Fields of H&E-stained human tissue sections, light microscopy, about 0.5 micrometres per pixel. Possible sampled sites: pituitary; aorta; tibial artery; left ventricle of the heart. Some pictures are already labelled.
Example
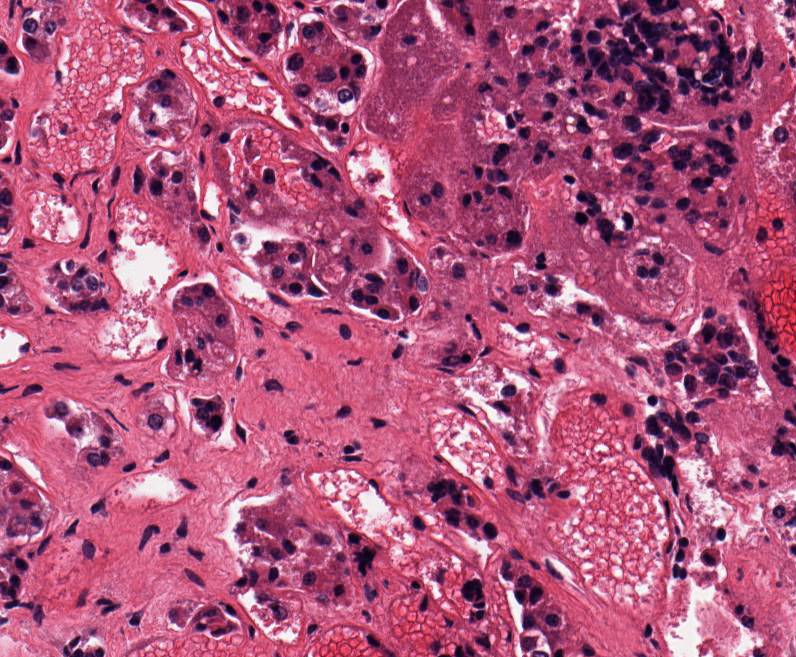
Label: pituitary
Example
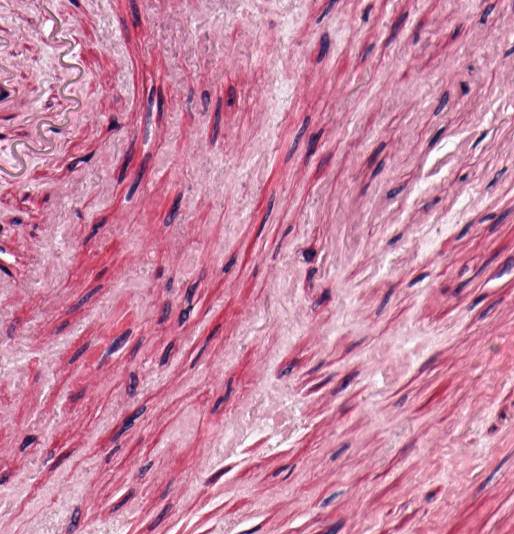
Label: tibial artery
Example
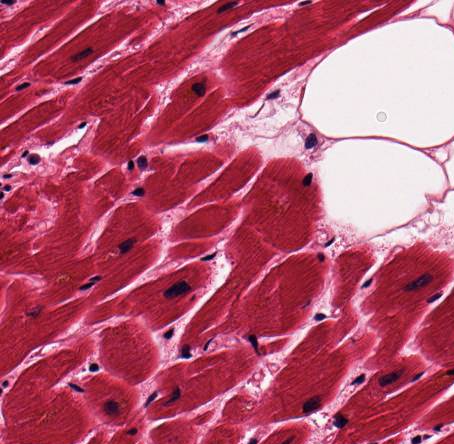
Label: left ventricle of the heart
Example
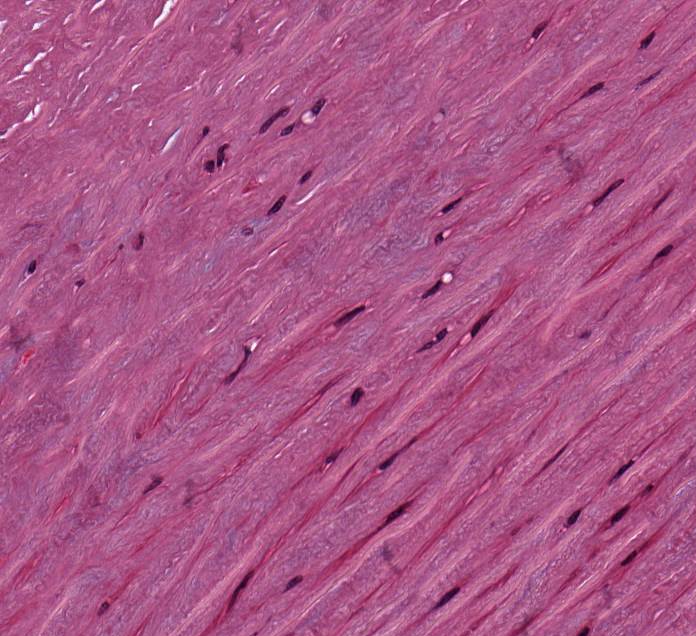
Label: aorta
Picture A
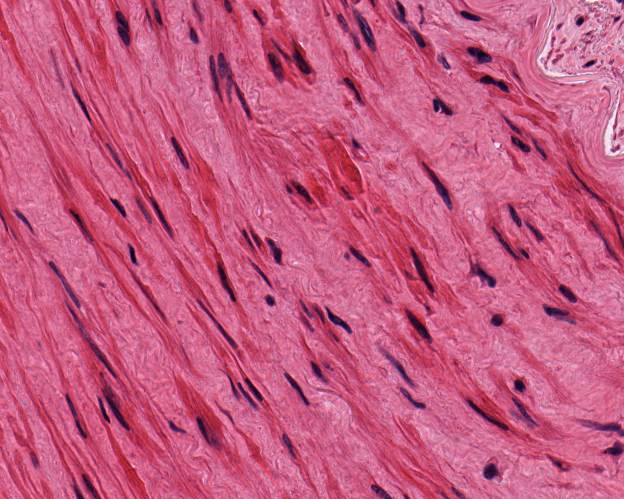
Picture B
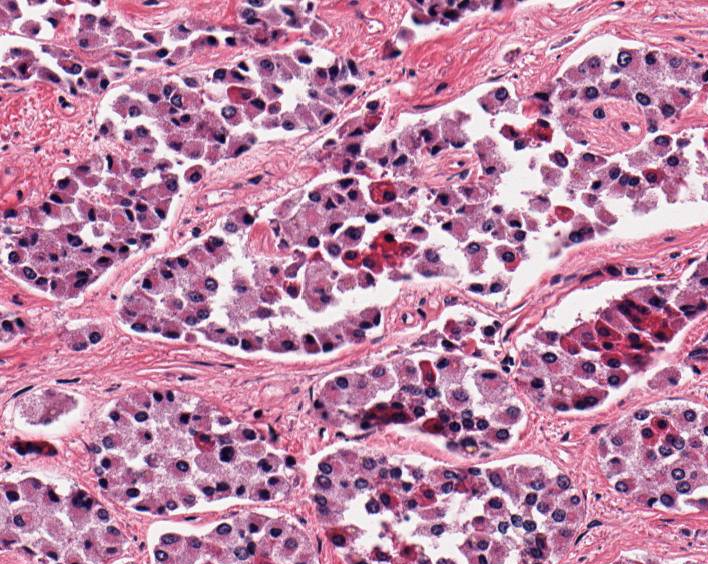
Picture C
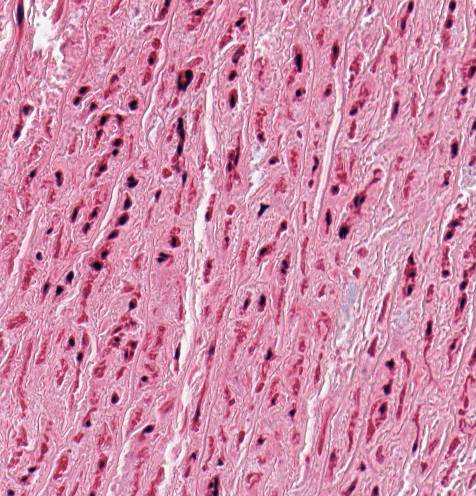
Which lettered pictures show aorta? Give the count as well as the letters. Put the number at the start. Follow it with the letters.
1, namely C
